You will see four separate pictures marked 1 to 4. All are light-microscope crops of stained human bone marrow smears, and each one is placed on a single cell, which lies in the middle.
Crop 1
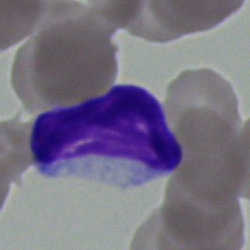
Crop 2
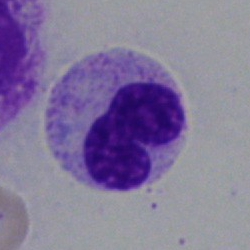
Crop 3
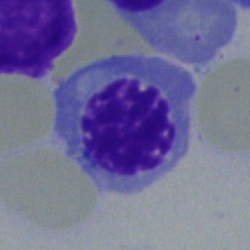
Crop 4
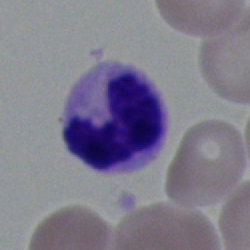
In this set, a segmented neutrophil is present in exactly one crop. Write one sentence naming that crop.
Of all the crops, crop 4 is the one showing a segmented neutrophil.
